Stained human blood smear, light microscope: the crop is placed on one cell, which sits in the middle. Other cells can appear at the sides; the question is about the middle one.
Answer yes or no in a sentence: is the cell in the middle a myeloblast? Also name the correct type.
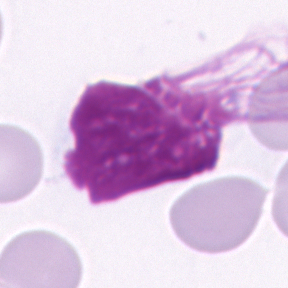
No, what is seen at the centre is a smudge cell instead of a myeloblast.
